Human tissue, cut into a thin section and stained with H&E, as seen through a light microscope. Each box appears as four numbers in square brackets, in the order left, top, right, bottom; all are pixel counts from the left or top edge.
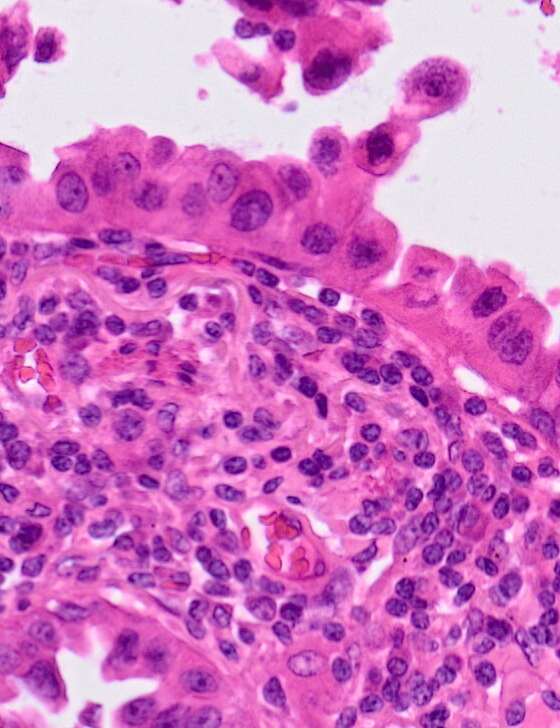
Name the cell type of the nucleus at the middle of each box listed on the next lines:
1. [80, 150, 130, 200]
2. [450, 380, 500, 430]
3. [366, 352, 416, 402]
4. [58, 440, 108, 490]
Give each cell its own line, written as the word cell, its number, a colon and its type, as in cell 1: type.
cell 1: carcinoma cell
cell 2: lymphocyte
cell 3: lymphocyte
cell 4: lymphocyte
